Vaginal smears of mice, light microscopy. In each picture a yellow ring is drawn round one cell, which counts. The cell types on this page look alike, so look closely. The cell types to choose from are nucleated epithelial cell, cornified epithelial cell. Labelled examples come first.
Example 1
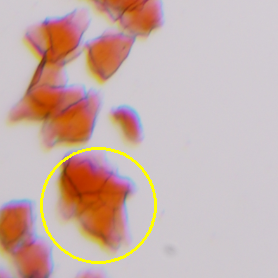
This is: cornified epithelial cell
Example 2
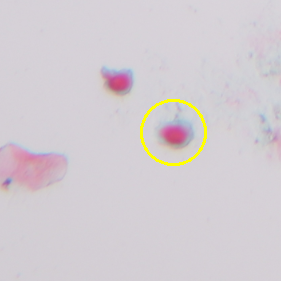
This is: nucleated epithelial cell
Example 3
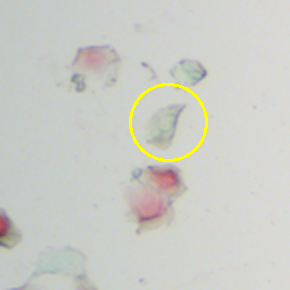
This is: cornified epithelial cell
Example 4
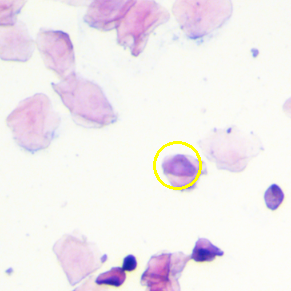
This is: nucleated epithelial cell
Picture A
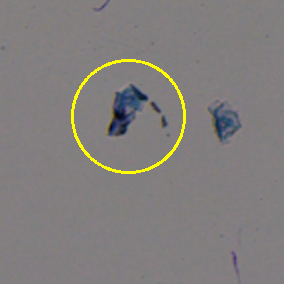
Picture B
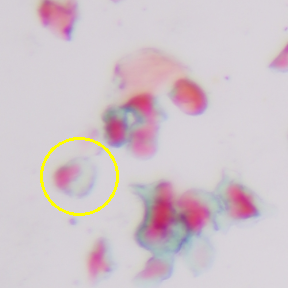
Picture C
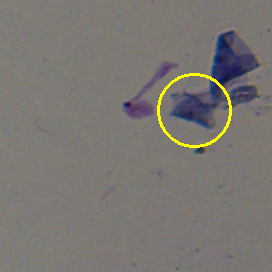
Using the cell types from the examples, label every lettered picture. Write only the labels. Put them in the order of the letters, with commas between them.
cornified epithelial cell, nucleated epithelial cell, cornified epithelial cell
